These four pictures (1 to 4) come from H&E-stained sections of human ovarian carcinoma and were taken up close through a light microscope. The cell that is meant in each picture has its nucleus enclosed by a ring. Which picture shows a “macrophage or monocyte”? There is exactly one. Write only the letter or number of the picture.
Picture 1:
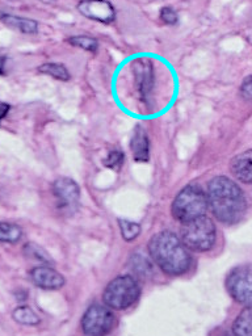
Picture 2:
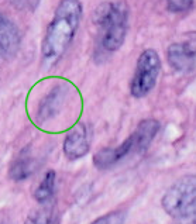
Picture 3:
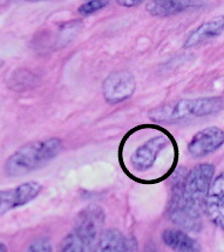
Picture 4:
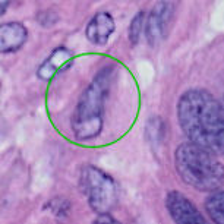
3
